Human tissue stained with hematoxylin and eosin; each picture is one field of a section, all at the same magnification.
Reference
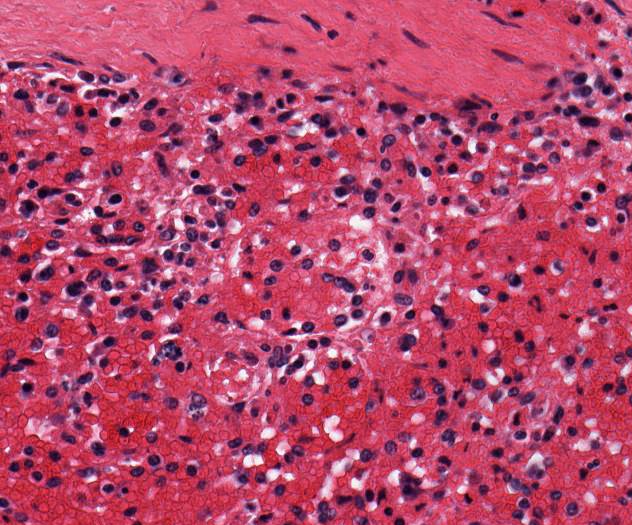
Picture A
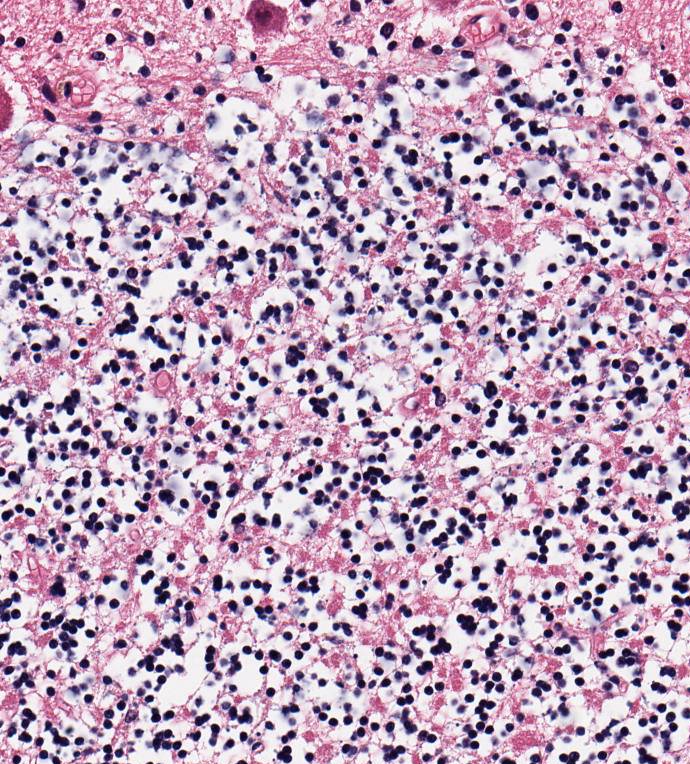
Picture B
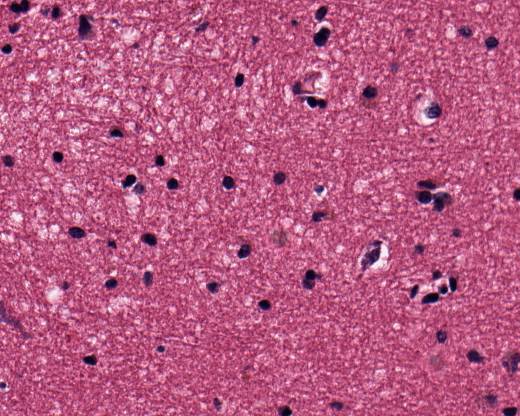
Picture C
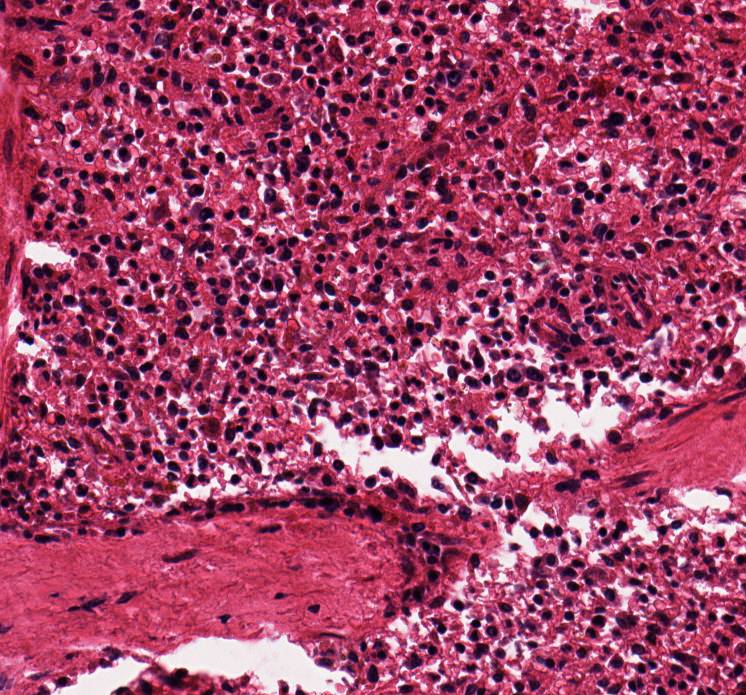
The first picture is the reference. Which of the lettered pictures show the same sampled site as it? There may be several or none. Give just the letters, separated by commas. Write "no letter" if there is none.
C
